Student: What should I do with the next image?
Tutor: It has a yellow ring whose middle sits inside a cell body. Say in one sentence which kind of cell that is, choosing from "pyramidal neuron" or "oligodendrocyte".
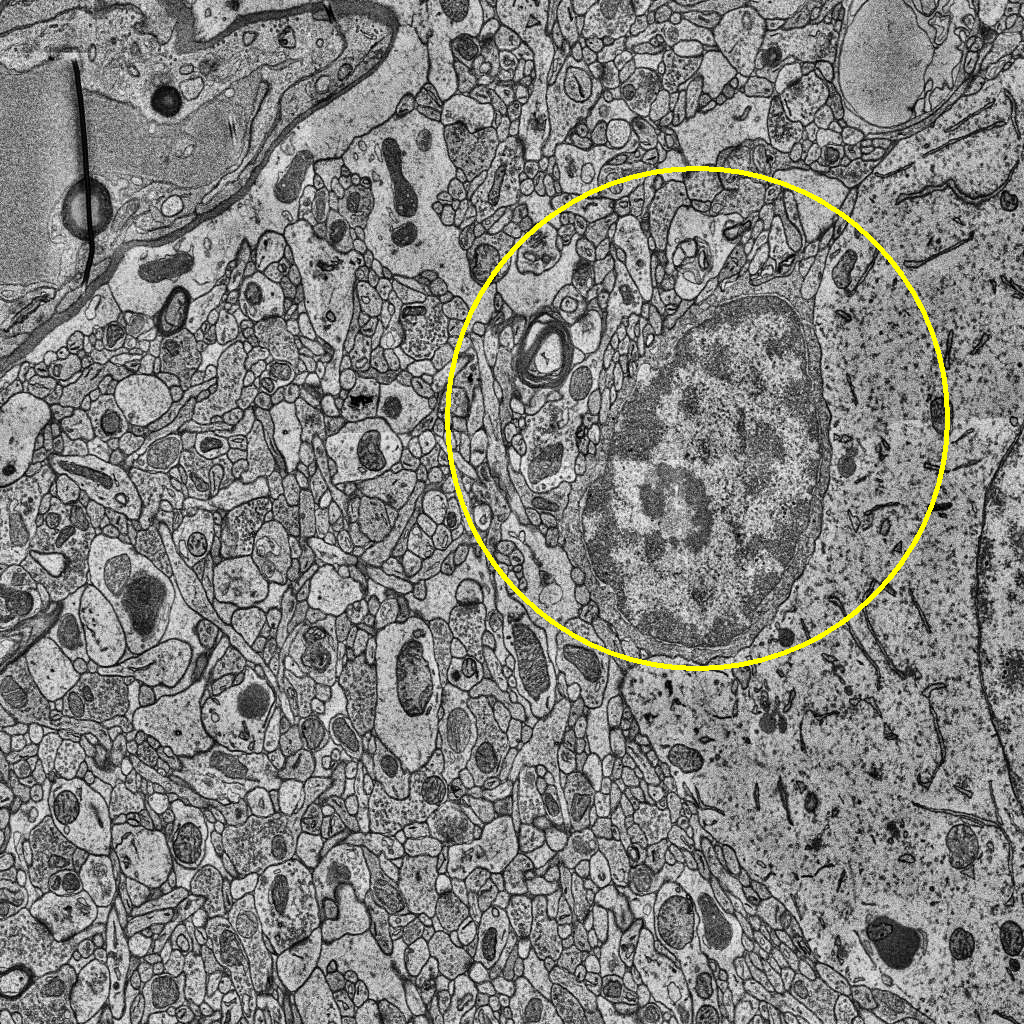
The ring's centre is occupied by an oligodendrocyte.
